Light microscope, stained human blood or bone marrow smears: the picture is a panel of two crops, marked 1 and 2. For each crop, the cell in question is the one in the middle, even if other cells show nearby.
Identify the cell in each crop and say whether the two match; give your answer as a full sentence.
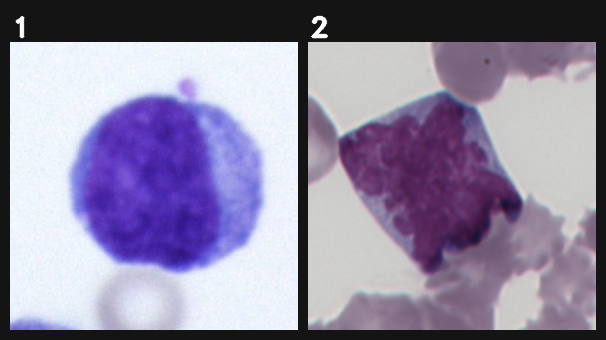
Yes, both crops show blasts as the central cells.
